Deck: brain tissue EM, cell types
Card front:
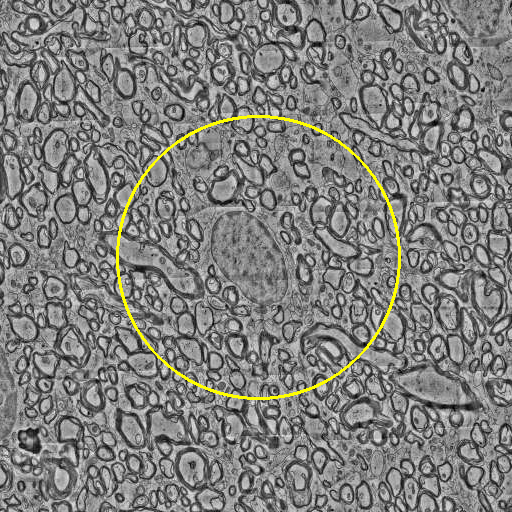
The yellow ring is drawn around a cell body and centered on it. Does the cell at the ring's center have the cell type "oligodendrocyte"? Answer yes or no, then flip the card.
no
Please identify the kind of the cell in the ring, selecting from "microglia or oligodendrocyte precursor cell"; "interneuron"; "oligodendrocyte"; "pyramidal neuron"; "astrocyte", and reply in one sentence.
Instead, the cell at the centre of the yellow ring is a microglial cell or oligodendrocyte precursor cell.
